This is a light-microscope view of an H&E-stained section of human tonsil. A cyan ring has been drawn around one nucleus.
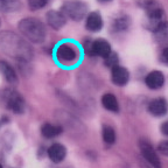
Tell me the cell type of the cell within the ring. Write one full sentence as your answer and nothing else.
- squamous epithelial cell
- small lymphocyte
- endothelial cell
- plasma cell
Assigned to a cell type, the cell within the ring is an endothelial cell.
